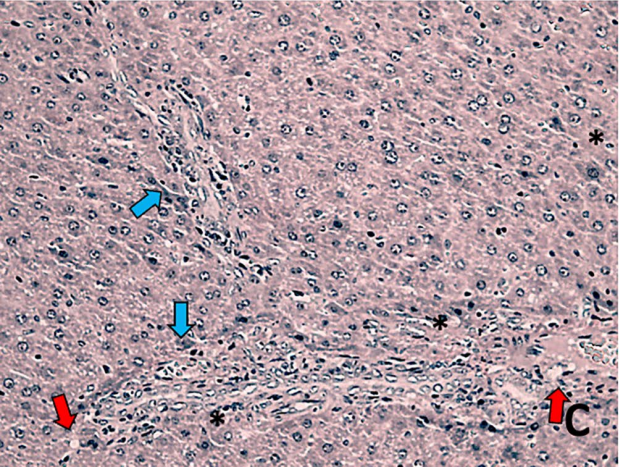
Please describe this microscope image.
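This is liver tissue in which the hepatocytes, large polygonal cells with round pale nuclei and pink cytoplasm, are interrupted by a branching band of crowded small, dark nuclei. That dense band is an inflammatory focus, and it runs from the upper left down toward the bottom of the field. Around it the regular arrangement of hepatocytes in cords is lost in places, and scattered dark, shrunken-looking nuclei mark zones of damage. Near the lower edge there are a few small clear spaces within the tissue. Compared with healthy liver, the orderly radiating cords and sinusoids are much less distinct here.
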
